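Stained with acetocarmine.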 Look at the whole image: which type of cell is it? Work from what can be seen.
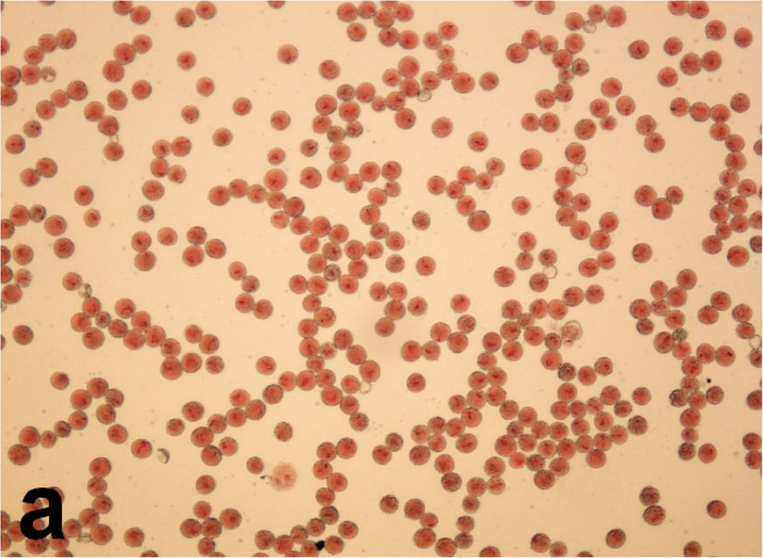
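Pollen grains. Many separate, round, evenly sized bodies lie scattered over the field. Most of them are filled with red stain. A few are empty, pale outlines.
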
